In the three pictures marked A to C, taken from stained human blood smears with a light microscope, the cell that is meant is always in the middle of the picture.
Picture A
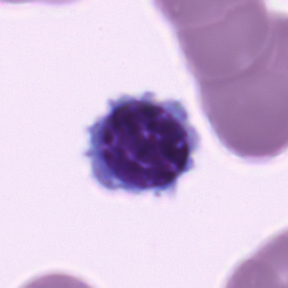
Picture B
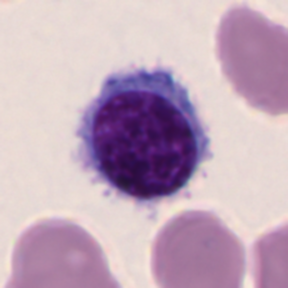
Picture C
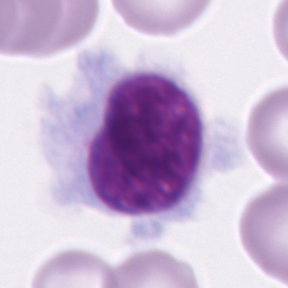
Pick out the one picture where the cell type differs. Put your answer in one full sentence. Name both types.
Unlike the rest, which show plasma cells, picture C shows a hairy cell.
